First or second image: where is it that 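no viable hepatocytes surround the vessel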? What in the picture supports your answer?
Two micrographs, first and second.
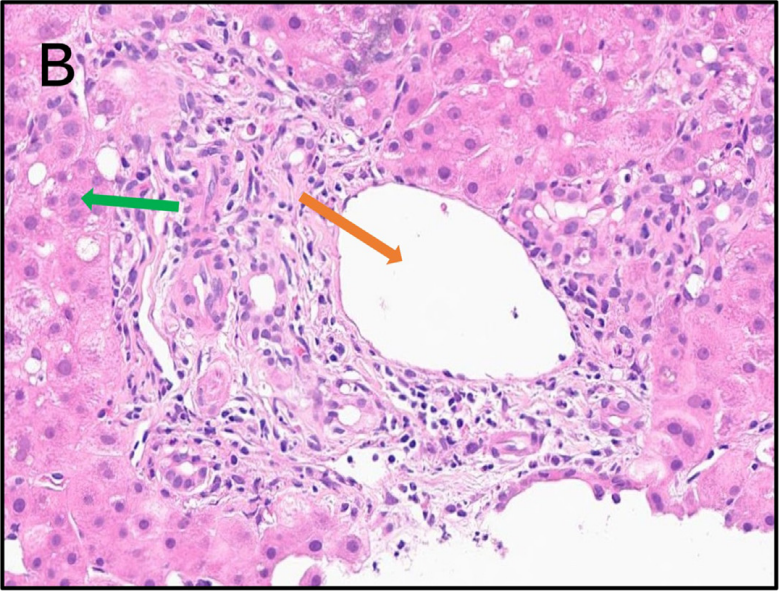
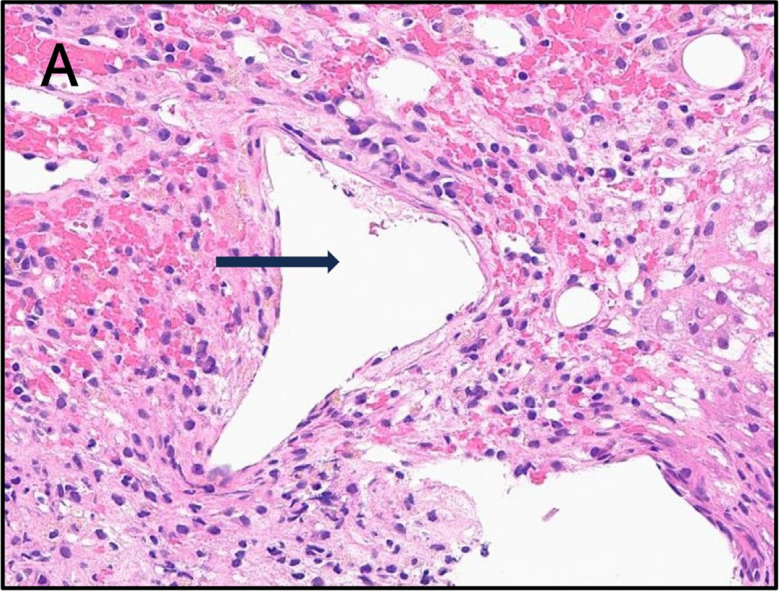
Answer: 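The second image. First image: sheets of large polygonal pink hepatocytes border the tract around the vessel. Second image: the vessel is surrounded only by loose stroma, red blood cells and small nuclei, with no hepatocytes.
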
